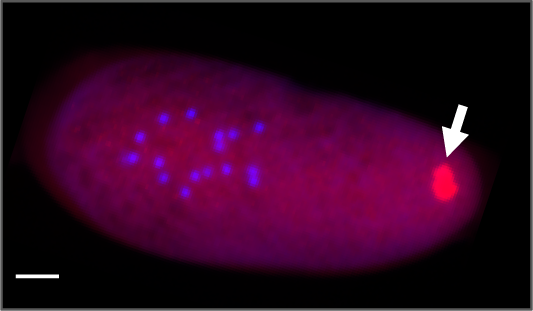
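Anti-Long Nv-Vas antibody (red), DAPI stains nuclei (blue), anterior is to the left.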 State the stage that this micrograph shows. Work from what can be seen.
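No continuous layer of nuclei at the periphery. That points to this answer: preblastoderm embryo.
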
